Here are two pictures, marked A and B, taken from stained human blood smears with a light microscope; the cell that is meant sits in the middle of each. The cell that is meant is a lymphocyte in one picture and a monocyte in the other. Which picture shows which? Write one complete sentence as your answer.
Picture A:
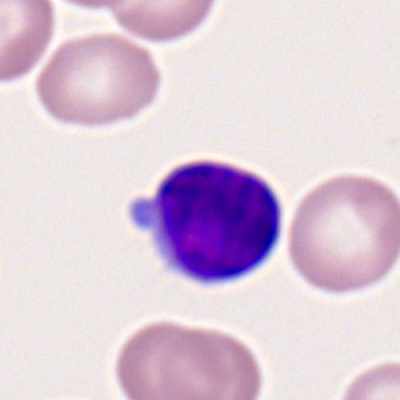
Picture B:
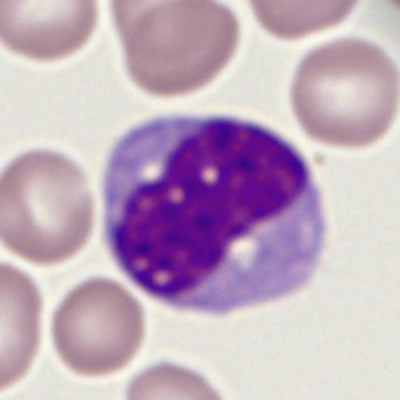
The cell in picture A is a lymphocyte, and the one in picture B is a monocyte.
